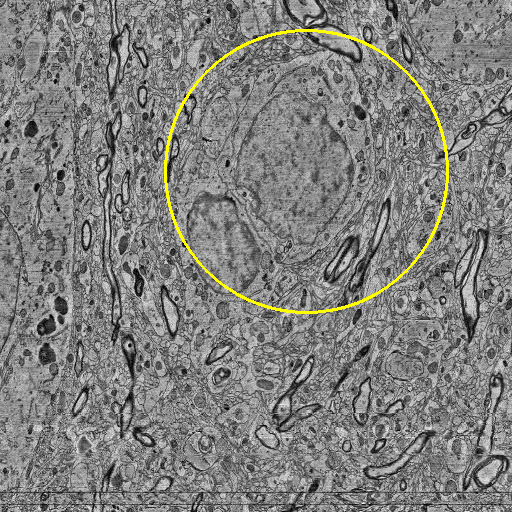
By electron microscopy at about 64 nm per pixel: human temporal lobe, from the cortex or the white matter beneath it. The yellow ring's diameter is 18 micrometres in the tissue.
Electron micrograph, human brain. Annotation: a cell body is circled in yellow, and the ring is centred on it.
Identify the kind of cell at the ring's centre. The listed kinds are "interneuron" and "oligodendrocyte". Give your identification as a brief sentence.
The circled cell body is that of an interneuron.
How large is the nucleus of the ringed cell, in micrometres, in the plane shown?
About 10 micrometres by about 8 micrometres in this plane.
